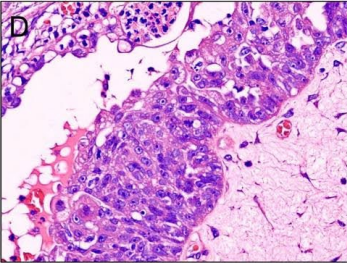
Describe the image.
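A cluster of malignant epithelial tumor cells sits on a pale, loose, oedematous stroma. The tumor cells are crowded and disorderly, with large, dark-staining nuclei that vary markedly in size and shape, many showing prominent nucleoli, and a moderate amount of pink cytoplasm. The surrounding stroma contains sparse spindle and stellate cells in a pale pink matrix.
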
